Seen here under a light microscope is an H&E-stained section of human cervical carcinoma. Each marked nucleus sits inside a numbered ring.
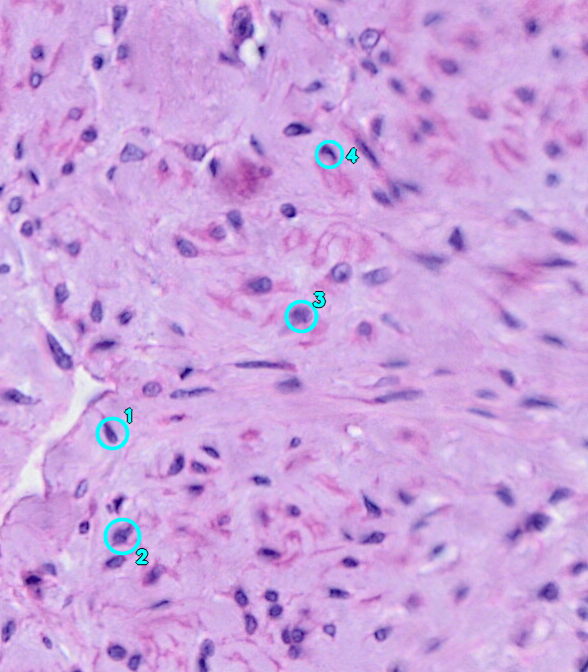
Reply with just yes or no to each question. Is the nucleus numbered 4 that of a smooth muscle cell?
yes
